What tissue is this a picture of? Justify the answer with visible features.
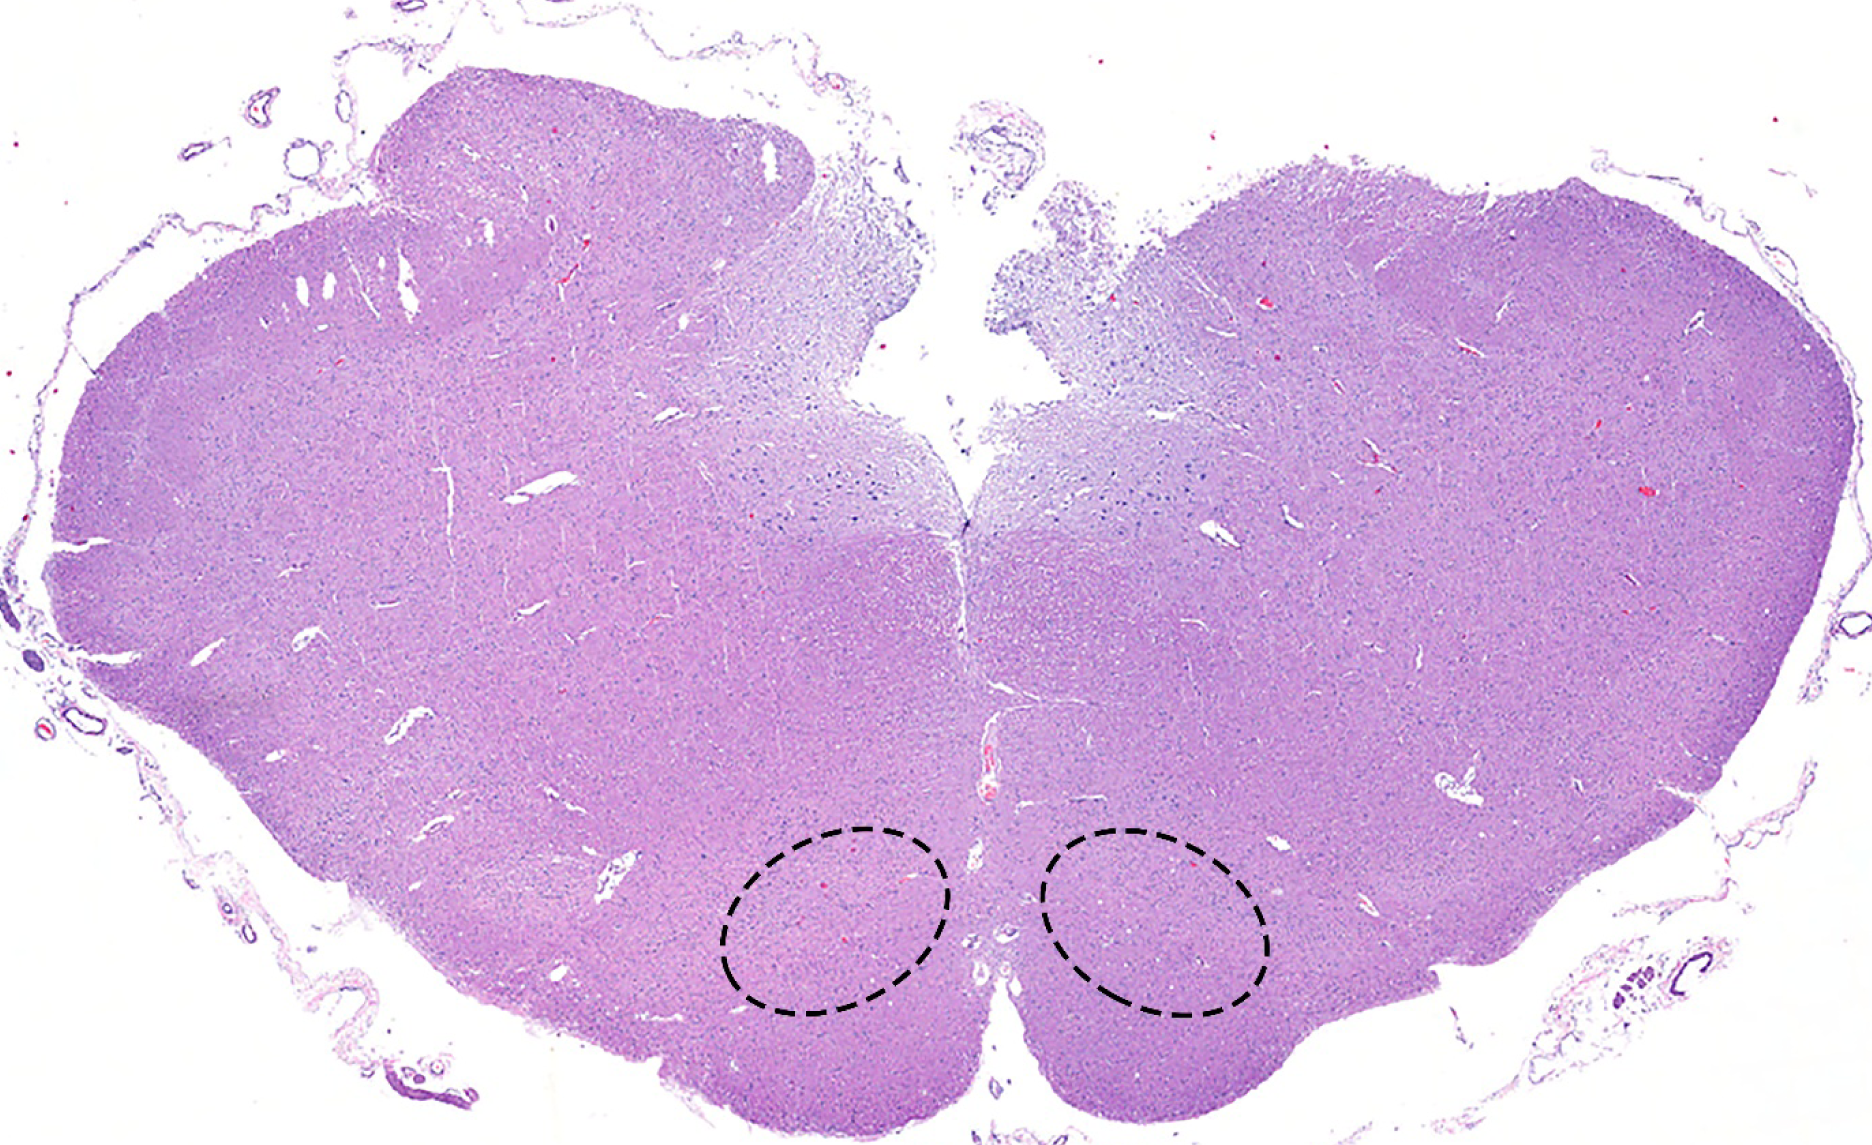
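Brainstem. A transverse section of a bilaterally symmetric neural structure with a dorsal midline cavity. Meninges with vessels surround the section.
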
